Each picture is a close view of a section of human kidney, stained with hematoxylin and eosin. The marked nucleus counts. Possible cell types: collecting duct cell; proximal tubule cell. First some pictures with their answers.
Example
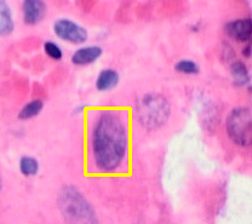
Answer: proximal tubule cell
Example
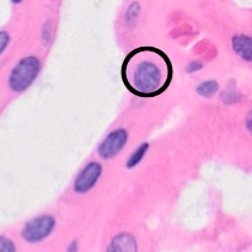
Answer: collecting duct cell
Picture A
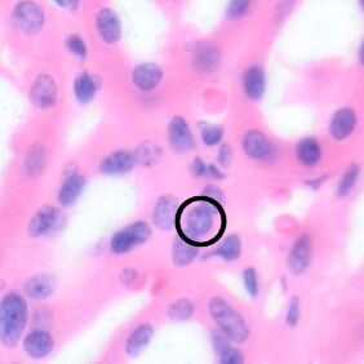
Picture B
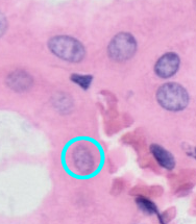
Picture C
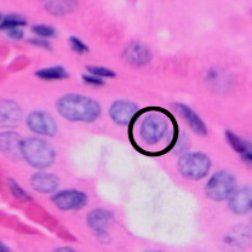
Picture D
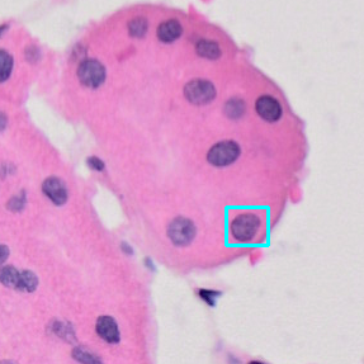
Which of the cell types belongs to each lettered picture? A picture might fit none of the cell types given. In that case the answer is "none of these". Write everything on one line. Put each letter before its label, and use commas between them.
A collecting duct cell, B proximal tubule cell, C collecting duct cell, D proximal tubule cell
